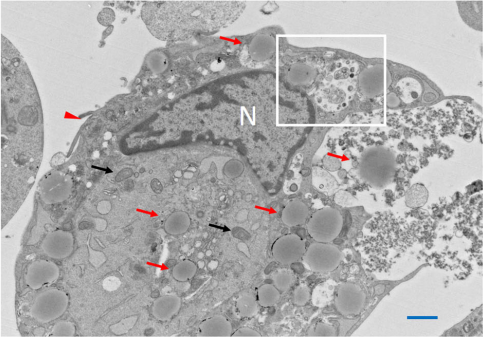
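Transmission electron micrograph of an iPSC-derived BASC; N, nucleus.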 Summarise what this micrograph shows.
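The cytoplasm is crowded with round, evenly grey secretory granules of fairly uniform size. Small oval mitochondria lie among them, and there are many pale vacuoles and vesicles, some holding membranous material. A boxed area near the top edge marks a cluster of vesicles and granules just under the cell membrane. The neighbouring cell at the right is partly broken up into loose debris.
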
